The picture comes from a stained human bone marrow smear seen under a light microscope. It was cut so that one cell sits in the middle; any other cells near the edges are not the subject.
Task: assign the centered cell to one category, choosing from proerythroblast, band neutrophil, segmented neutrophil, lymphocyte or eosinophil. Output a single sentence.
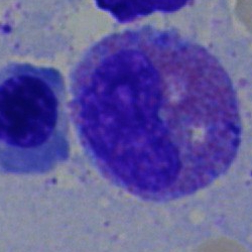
In this crop, the cell at the very middle is an eosinophil.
